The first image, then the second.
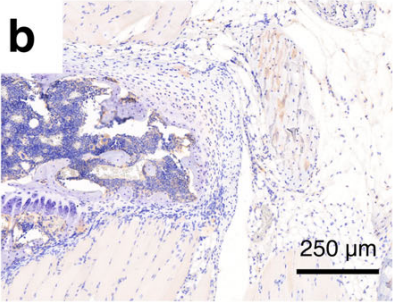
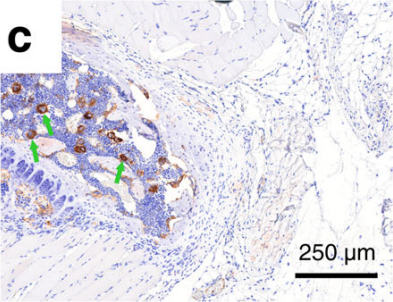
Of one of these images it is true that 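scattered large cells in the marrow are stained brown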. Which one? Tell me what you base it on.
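Second image: several large brown-stained cells stand out within the blue marrow. First image: the marrow is blue throughout with no distinct brown-stained cells.
Conclusion: the second image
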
